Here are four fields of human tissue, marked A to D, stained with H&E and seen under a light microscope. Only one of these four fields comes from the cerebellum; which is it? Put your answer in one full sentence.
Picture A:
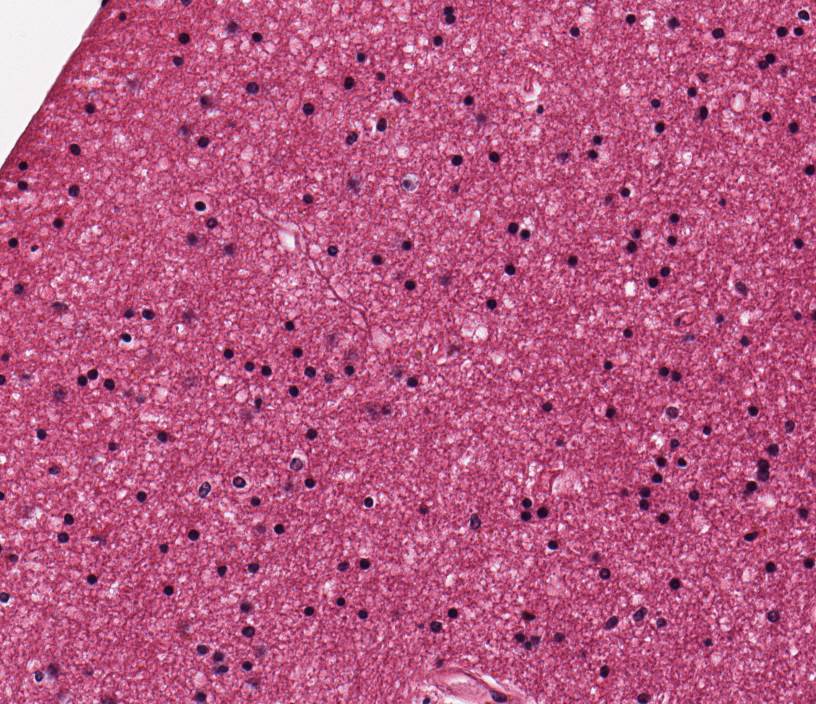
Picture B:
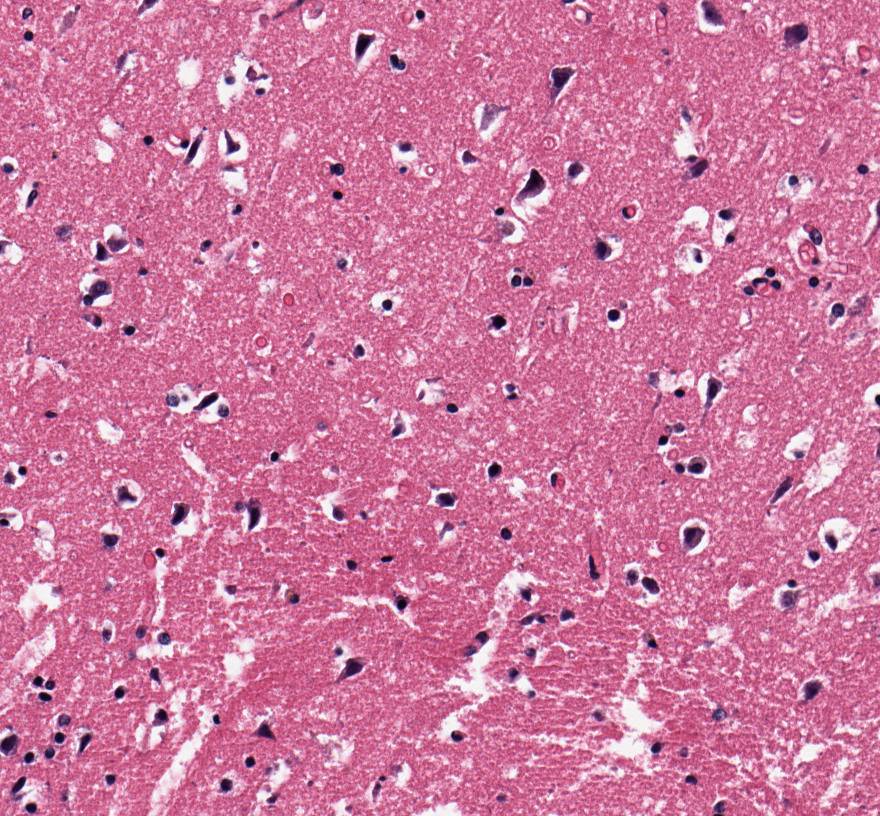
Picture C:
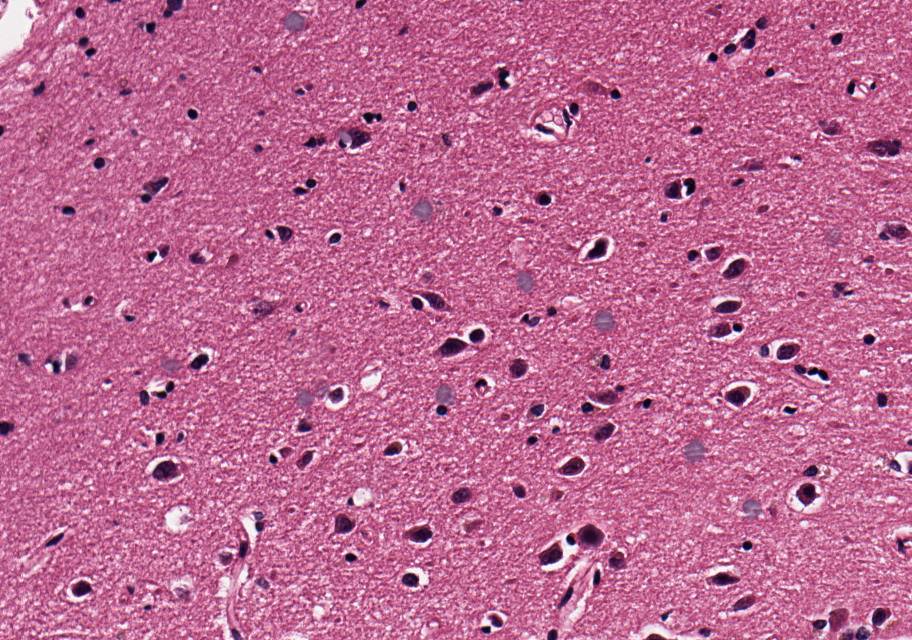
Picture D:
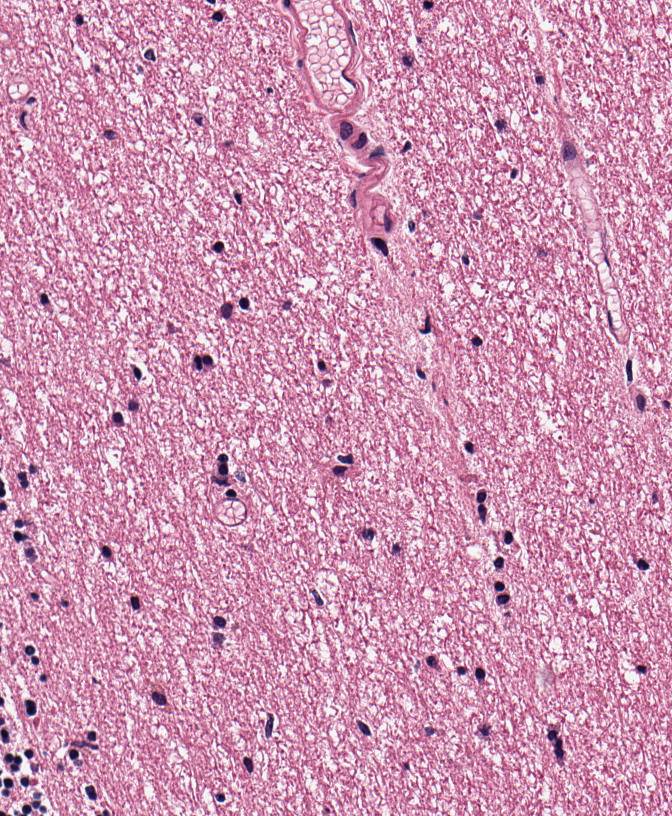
The one that comes from the cerebellum is picture D.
